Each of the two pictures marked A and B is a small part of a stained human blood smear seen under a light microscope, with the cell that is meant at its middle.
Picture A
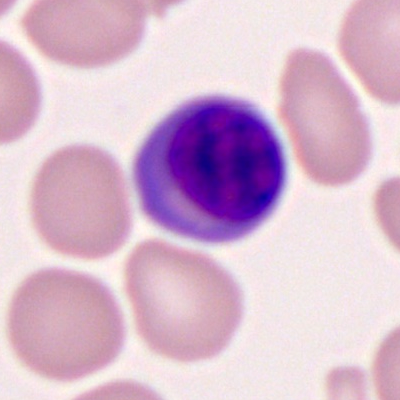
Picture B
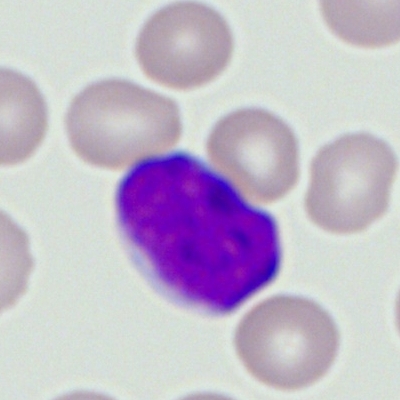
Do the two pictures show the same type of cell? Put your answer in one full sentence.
No. Picture A shows an erythroblast, but picture B shows a myeloblast.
